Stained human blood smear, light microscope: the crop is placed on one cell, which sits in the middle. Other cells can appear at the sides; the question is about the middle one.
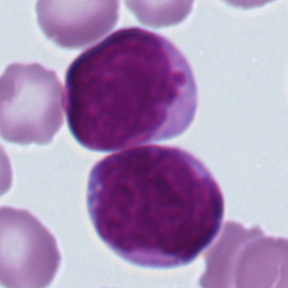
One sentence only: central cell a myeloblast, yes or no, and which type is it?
Yes, in this crop the cell in the middle is a myeloblast.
